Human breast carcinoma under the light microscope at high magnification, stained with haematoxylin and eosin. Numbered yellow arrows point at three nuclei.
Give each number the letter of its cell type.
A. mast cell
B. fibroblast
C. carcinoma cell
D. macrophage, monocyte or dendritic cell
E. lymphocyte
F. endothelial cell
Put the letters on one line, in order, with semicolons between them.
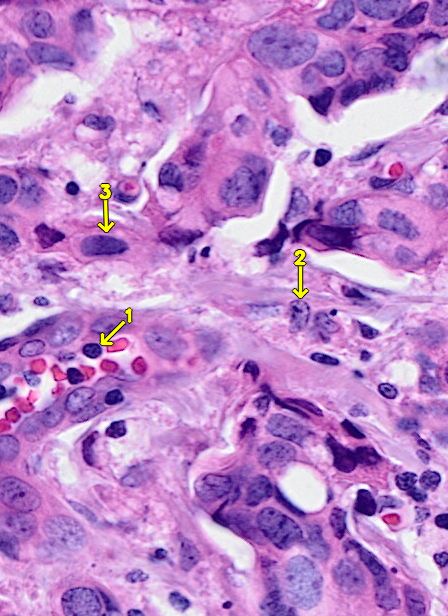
E; D; C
